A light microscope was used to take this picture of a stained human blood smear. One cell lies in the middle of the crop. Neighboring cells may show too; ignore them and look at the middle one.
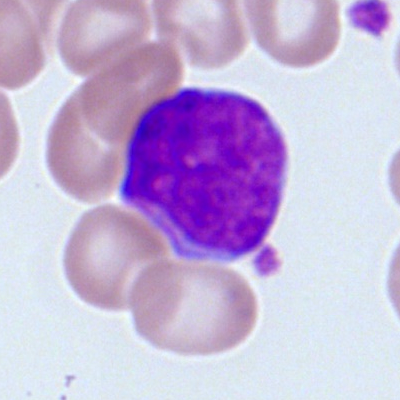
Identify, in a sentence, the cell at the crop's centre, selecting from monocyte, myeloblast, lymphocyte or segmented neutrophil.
The cell nearest the centre of this crop is a myeloblast.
